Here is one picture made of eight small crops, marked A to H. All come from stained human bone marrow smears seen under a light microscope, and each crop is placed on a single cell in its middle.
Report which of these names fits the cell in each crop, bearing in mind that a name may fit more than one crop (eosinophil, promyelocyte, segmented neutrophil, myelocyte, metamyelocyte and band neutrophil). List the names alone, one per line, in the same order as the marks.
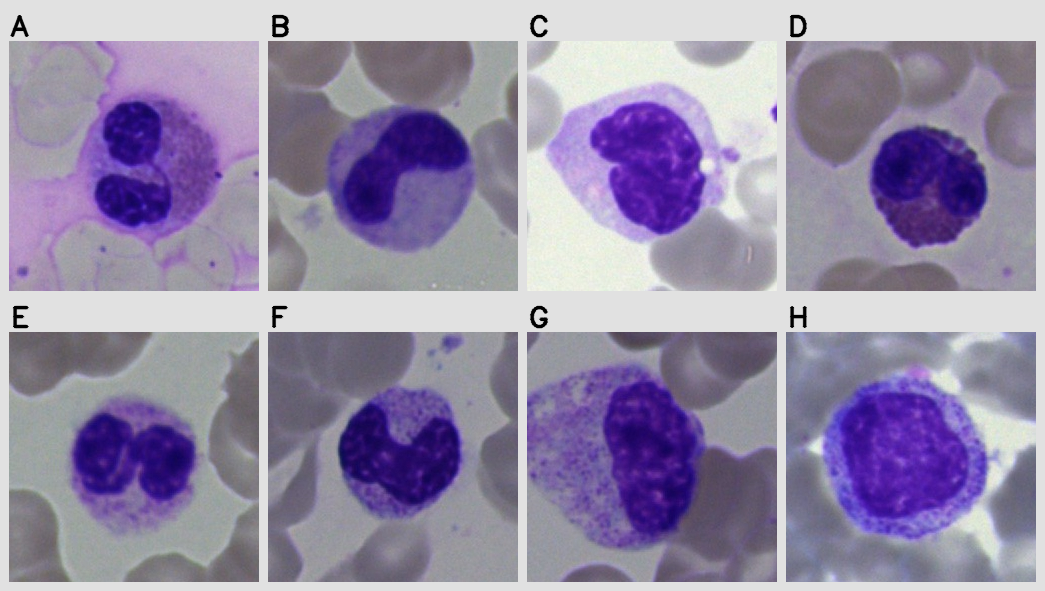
eosinophil
band neutrophil
metamyelocyte
eosinophil
segmented neutrophil
band neutrophil
myelocyte
myelocyte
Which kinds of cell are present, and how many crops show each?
eosinophil: 2
band neutrophil: 2
myelocyte: 2
metamyelocyte: 1
segmented neutrophil: 1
